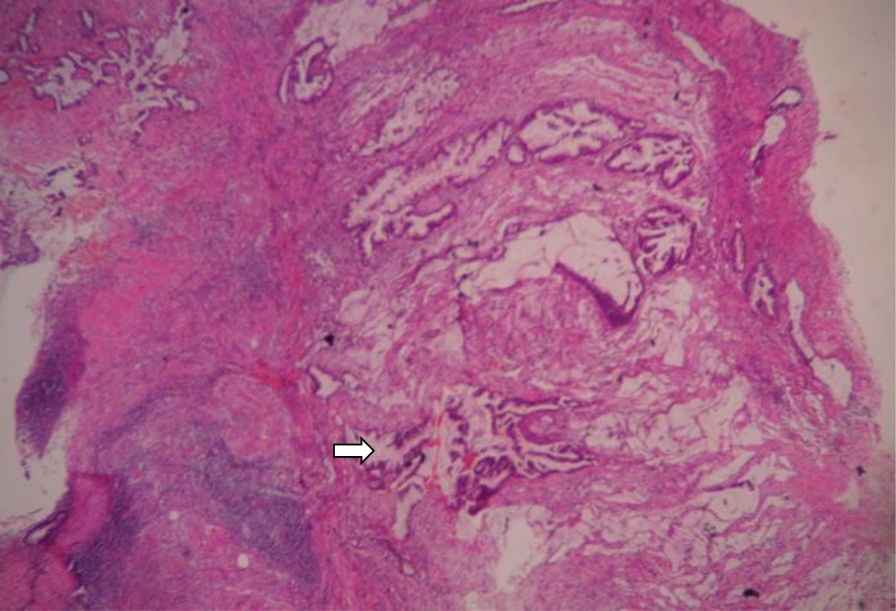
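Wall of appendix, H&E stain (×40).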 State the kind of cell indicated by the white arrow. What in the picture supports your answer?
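The arrow points at a strip of epithelium with crowded dark purple nuclei. The epithelial strip lines a convoluted gland-like structure within pale material. The answer: tall cells with high nucleocytoplasmic ratio.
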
